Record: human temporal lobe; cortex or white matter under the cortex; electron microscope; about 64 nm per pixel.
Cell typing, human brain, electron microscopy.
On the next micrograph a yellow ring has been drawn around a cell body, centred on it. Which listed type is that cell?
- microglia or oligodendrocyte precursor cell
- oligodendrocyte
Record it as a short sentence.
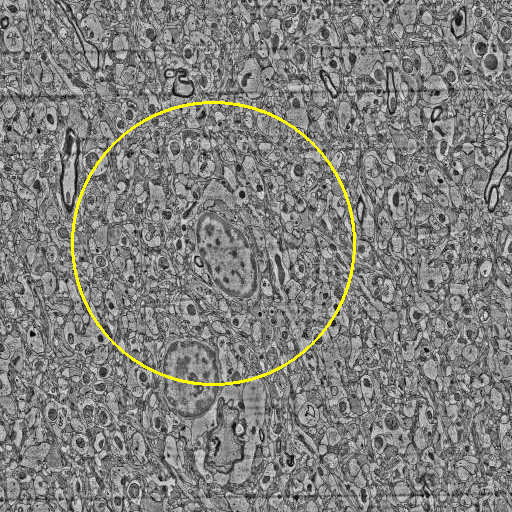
The cell body in the ring's centre belongs to a microglial cell or oligodendrocyte precursor cell.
